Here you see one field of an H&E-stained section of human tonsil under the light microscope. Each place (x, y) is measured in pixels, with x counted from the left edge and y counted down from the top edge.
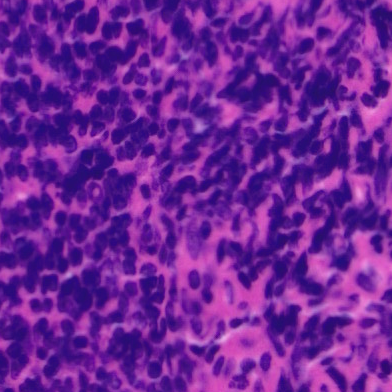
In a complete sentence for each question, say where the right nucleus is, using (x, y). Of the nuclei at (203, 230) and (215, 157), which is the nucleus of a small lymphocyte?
Heads up, the nucleus at (215, 157) is the one that belongs to a small lymphocyte.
